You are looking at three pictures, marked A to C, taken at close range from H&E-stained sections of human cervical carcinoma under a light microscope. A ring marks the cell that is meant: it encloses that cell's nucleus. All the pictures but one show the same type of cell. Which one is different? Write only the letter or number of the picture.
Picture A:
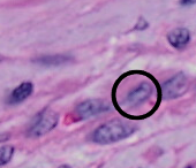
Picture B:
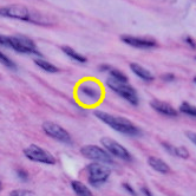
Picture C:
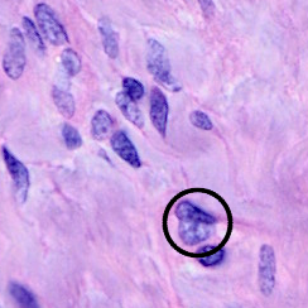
B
